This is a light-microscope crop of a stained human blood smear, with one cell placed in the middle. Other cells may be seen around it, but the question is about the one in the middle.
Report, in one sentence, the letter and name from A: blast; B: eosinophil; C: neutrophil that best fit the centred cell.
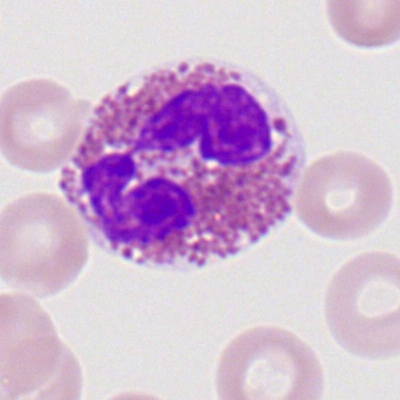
Occupying the middle of the crop is an eosinophil, hence option B is correct.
